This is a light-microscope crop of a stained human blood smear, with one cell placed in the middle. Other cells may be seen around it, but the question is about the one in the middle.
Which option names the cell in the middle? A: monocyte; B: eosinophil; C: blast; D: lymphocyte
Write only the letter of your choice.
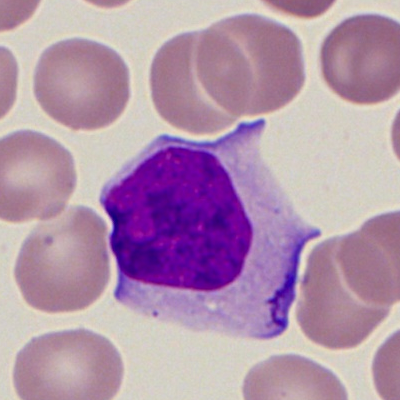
D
